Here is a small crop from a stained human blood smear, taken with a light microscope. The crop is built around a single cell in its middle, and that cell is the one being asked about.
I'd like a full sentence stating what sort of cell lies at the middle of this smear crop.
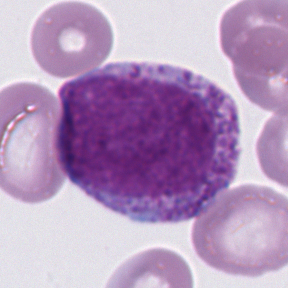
The cell in the middle of the field of view is a promyelocyte.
